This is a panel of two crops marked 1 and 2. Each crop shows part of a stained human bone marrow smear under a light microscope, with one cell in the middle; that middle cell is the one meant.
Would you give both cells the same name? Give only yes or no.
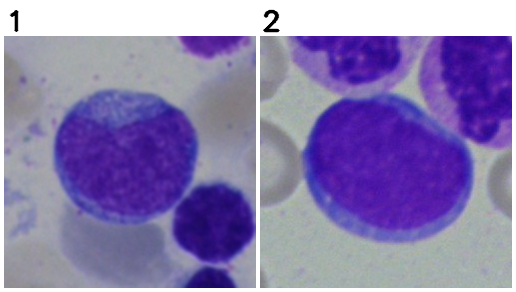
yes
